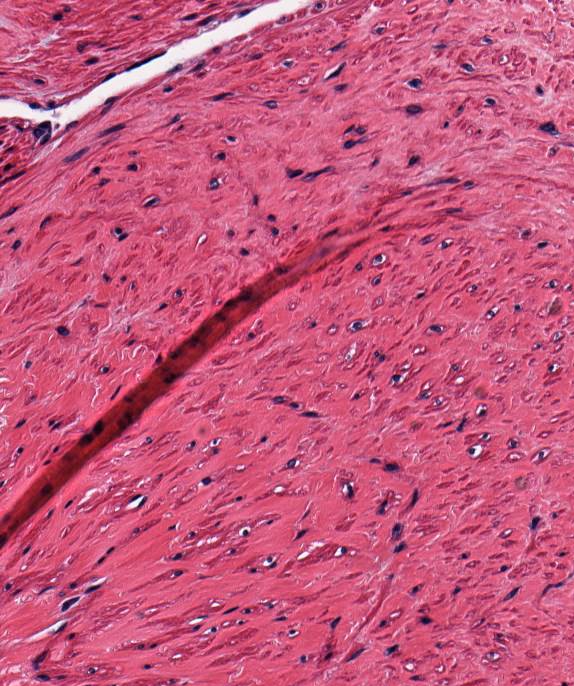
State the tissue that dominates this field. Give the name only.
tunica media of an artery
